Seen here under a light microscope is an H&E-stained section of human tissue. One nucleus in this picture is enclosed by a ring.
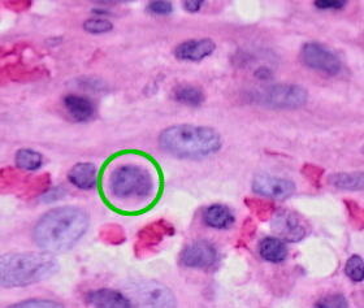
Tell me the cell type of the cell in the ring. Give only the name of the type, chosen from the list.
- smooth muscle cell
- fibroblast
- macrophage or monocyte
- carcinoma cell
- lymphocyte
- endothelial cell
macrophage or monocyte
